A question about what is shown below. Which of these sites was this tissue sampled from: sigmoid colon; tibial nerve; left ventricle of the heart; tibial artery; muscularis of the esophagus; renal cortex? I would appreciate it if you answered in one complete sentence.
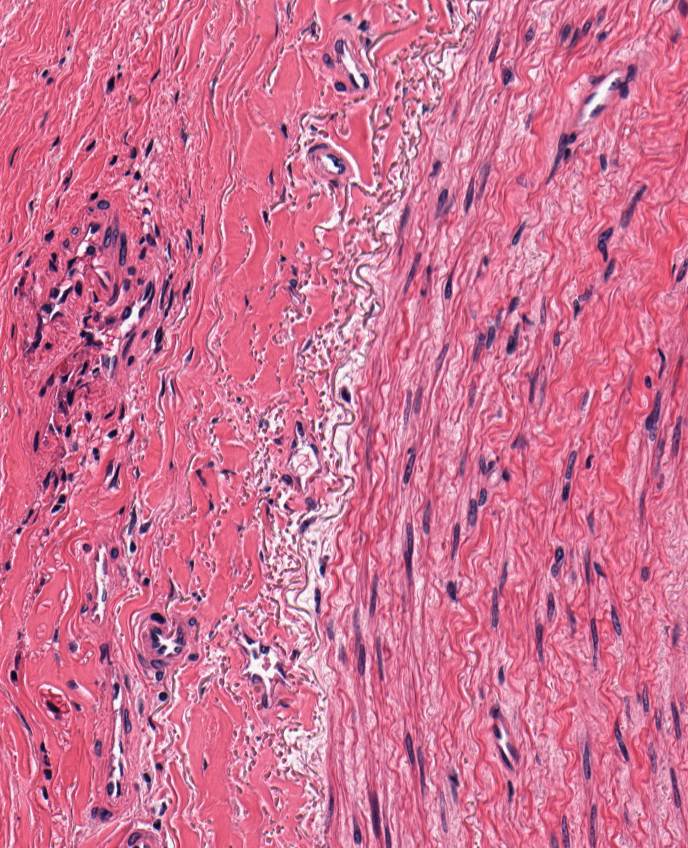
The sample used for this section is from the tibial artery.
